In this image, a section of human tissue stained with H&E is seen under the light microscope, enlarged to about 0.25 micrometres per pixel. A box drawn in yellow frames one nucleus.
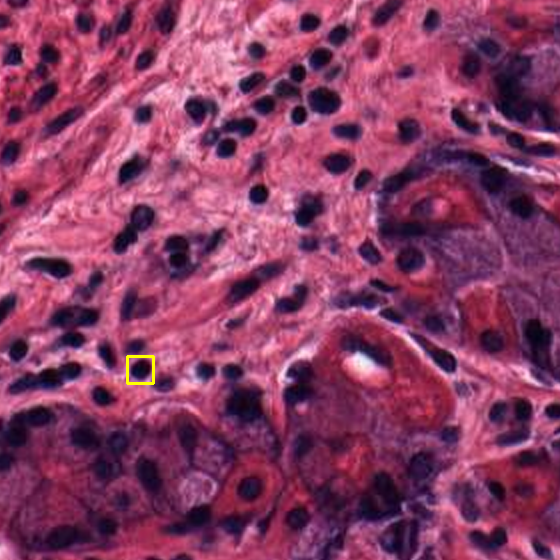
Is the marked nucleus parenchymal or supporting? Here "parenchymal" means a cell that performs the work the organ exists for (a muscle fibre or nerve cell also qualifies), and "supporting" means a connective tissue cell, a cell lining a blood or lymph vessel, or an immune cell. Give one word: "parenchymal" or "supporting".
supporting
